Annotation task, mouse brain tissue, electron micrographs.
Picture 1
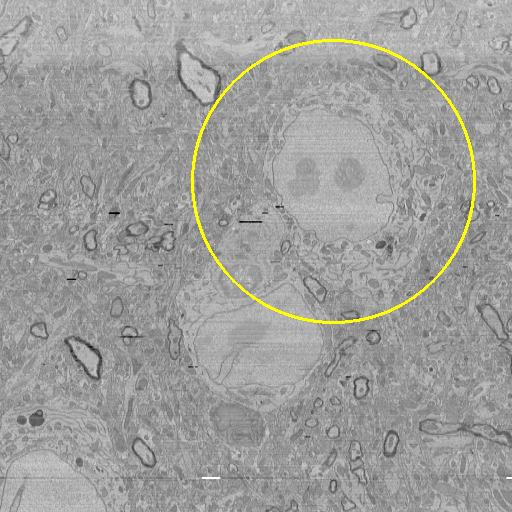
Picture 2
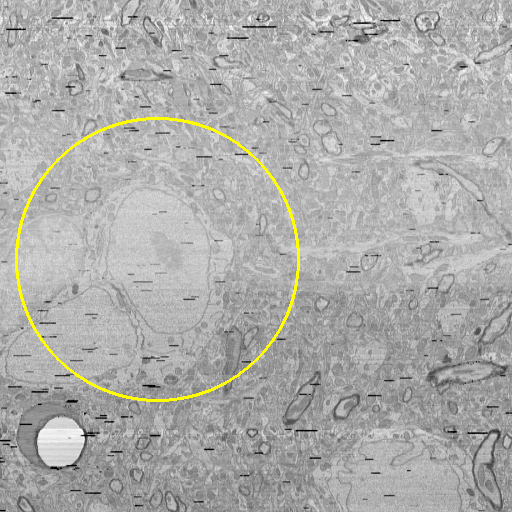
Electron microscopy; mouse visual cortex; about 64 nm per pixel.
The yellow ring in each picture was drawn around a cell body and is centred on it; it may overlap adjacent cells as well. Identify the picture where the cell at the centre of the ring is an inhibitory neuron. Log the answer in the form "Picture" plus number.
Picture 1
